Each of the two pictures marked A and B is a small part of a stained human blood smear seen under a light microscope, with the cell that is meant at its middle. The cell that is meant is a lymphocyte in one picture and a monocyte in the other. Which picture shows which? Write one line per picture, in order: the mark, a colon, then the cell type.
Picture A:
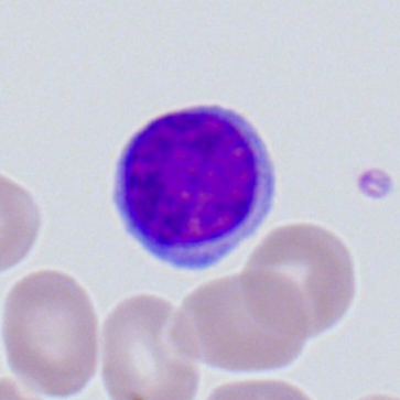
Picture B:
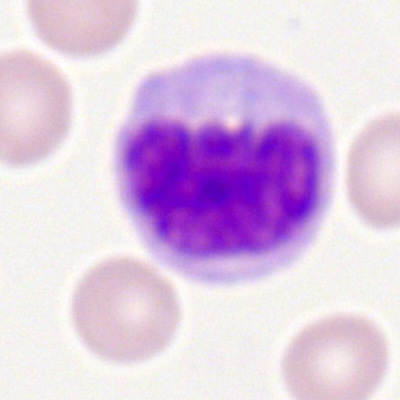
A: lymphocyte
B: monocyte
